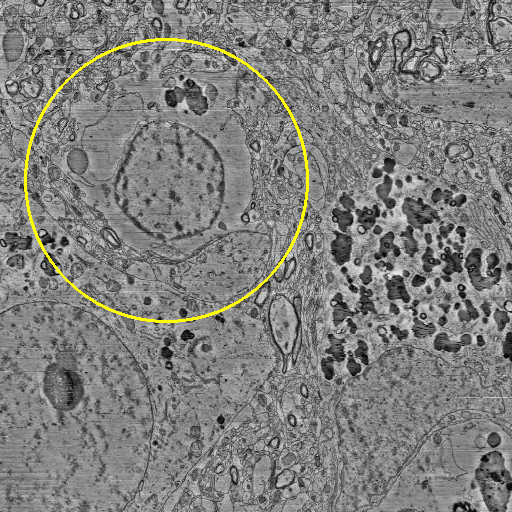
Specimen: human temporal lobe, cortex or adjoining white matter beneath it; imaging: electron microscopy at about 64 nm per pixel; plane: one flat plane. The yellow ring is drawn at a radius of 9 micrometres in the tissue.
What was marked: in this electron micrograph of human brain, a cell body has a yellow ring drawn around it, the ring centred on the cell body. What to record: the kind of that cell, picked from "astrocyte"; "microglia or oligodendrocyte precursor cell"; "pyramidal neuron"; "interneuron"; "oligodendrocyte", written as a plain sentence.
The centred cell is an astrocyte.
